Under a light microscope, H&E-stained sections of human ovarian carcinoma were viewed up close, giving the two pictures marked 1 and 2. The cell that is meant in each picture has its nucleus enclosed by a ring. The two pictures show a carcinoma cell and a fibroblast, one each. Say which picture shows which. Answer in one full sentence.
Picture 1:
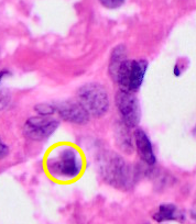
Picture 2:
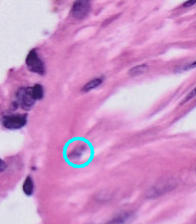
In picture 1 the cell is a carcinoma cell; in picture 2, a fibroblast.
